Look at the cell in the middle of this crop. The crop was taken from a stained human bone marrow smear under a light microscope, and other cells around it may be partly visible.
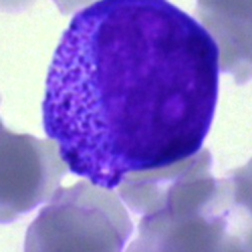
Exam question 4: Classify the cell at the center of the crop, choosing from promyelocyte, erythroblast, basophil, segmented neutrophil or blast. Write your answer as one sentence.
Centred in the crop is a promyelocyte.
